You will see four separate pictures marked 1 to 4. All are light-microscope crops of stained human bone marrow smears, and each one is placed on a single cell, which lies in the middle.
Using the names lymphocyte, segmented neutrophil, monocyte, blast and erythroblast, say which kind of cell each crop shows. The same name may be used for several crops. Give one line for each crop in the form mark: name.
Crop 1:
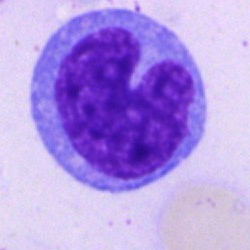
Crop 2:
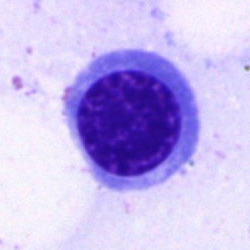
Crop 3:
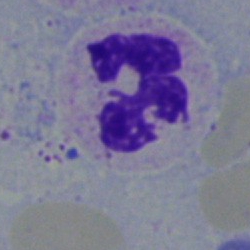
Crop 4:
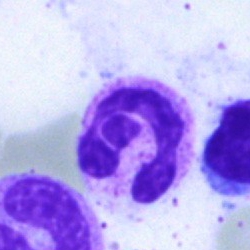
1: monocyte
2: erythroblast
3: segmented neutrophil
4: segmented neutrophil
